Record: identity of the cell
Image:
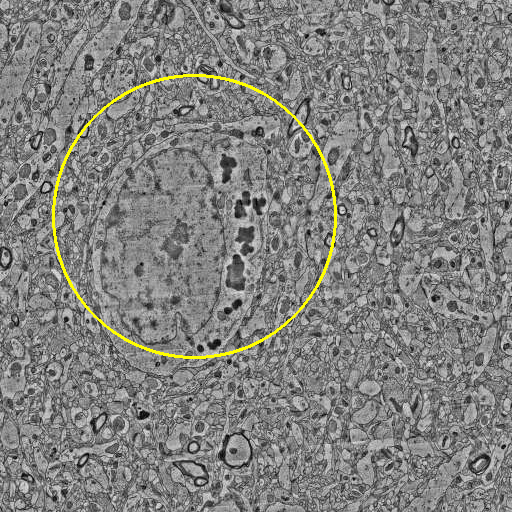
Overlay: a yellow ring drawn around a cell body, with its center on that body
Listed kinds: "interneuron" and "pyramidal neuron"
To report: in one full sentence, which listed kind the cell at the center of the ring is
In the image, the cell body at the ring's center belongs to an interneuron.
